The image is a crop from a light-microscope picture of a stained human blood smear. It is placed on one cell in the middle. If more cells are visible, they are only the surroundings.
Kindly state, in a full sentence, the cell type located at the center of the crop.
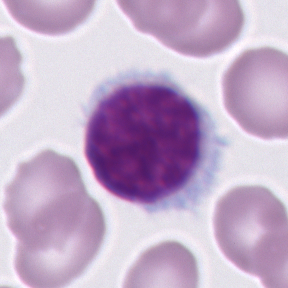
The centrally placed cell is classified as a hairy cell.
